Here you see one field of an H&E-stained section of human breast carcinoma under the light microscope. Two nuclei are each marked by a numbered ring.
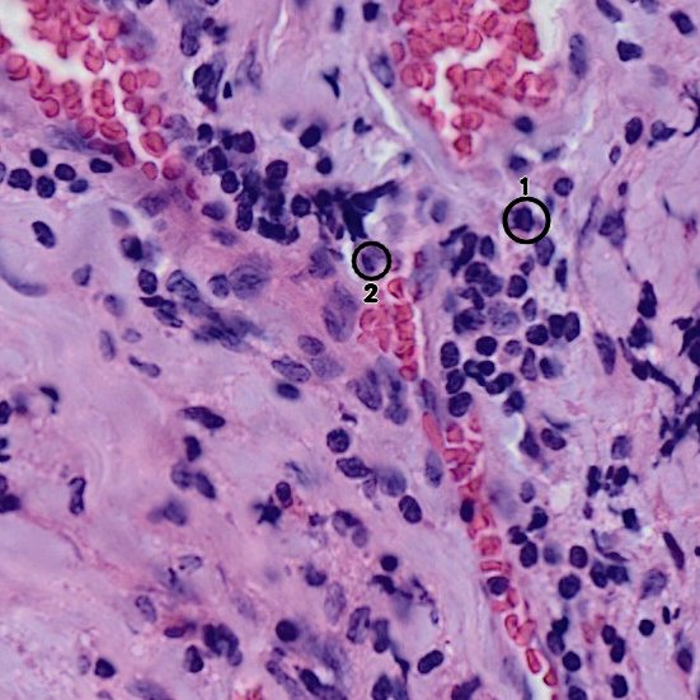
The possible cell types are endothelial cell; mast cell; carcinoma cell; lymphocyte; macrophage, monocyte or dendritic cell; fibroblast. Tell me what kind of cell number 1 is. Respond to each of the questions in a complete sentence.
In this section, number 1 marks a lymphocyte.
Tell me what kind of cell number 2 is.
Cell 2, as marked in the section, is an endothelial cell.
